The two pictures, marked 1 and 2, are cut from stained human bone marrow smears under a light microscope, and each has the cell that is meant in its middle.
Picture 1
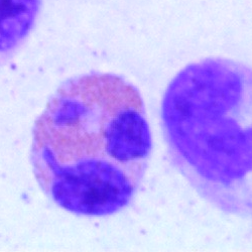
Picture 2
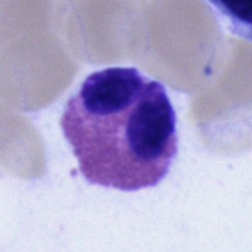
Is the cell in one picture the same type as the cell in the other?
yes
